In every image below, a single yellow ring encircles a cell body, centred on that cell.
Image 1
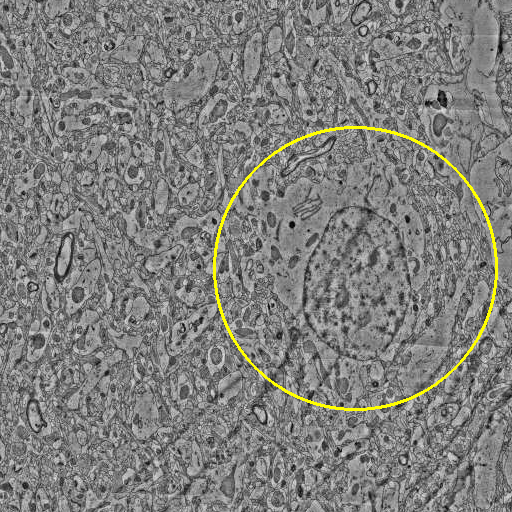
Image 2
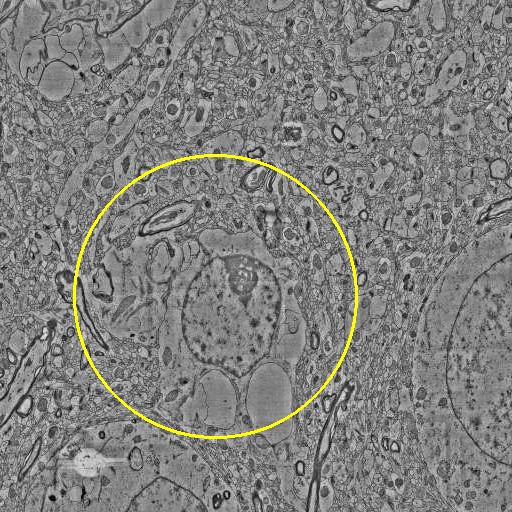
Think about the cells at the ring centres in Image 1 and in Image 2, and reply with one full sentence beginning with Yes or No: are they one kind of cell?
Yes, the cells centred in the rings of Image 1 and Image 2 are one kind of cell.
